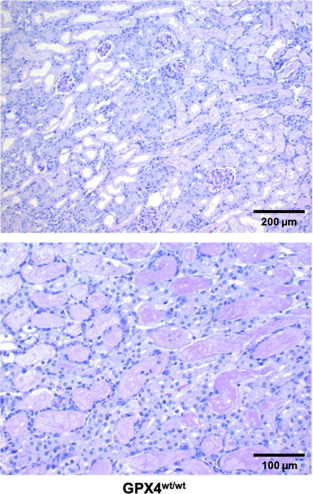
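This is kidney tissue in which glomeruli and tubules can be seen side by side. The glomeruli are round clusters of capillary loops crowded with blue nuclei, set among many tubules cut across and lengthwise. In the closer view many tubules are filled by smooth, homogeneous pink material, while their lining cells keep blue nuclei at the rim. Small blue nuclei of interstitial cells lie between the tubules.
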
